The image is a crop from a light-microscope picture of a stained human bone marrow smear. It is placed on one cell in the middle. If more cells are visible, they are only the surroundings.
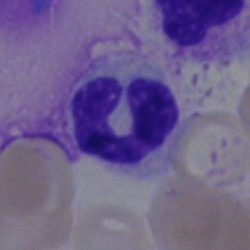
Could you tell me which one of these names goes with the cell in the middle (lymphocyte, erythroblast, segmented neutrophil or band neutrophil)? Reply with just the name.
segmented neutrophil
